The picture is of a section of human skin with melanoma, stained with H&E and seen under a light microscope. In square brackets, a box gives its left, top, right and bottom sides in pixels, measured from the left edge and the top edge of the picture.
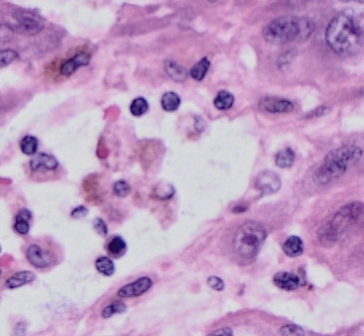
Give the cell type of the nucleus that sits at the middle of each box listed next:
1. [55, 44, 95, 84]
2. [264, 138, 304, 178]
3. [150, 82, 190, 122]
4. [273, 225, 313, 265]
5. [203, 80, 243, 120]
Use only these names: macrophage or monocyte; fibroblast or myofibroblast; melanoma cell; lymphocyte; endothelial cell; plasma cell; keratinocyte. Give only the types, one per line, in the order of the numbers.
macrophage or monocyte
macrophage or monocyte
lymphocyte
lymphocyte
lymphocyte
